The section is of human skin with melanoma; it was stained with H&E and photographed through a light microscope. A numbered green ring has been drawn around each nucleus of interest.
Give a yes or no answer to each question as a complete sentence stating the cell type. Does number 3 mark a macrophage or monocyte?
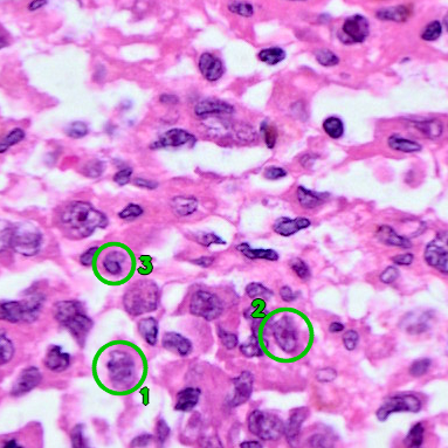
Yes, the cell distinguished by number 3 is a macrophage or monocyte.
